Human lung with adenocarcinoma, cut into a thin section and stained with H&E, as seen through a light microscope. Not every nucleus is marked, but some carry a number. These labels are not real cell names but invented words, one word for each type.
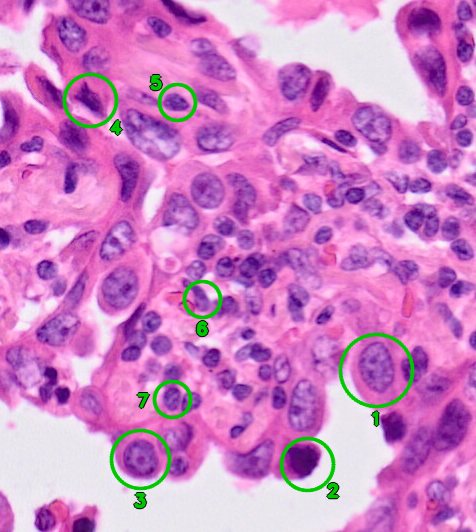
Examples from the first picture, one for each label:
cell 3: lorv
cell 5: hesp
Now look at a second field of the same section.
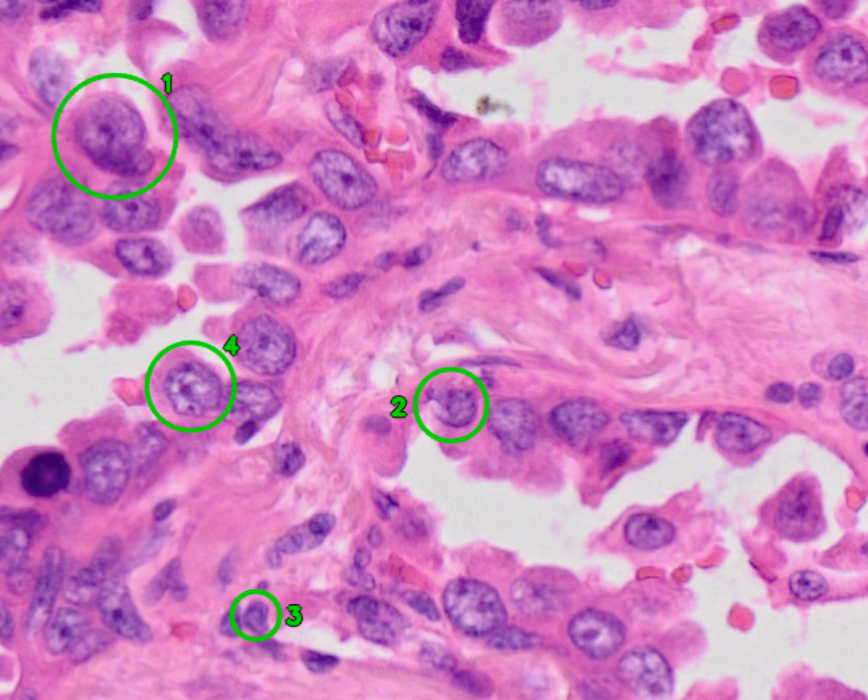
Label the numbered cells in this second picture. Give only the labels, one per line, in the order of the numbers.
lorv
lorv
hesp
lorv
